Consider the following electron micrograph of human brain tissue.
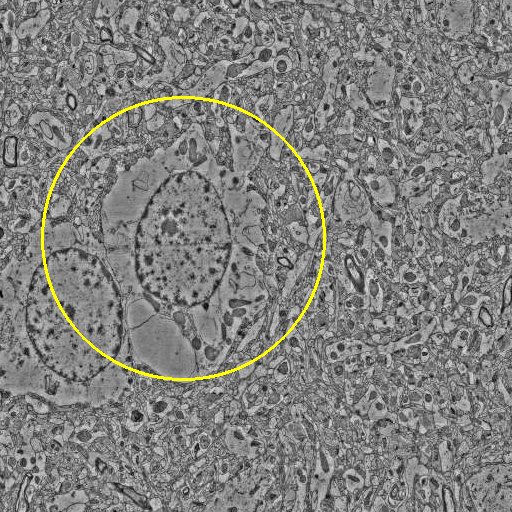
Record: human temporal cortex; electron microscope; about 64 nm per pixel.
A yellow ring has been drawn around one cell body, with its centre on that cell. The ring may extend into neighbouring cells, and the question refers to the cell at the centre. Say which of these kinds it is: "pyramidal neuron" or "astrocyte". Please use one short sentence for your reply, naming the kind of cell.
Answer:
The centre of the ring falls on an astrocyte.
